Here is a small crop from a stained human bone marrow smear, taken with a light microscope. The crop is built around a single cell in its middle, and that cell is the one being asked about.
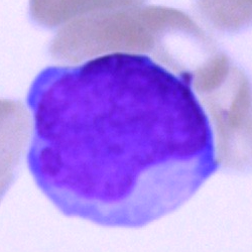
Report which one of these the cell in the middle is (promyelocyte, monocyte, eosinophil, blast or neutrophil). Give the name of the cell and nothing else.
blast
